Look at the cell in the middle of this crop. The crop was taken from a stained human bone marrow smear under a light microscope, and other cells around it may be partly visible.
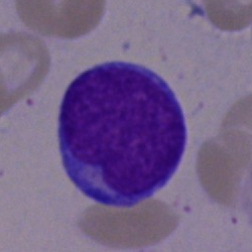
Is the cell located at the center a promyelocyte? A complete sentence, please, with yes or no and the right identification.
No, the central cell here is a blast; calling it a promyelocyte is not right.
